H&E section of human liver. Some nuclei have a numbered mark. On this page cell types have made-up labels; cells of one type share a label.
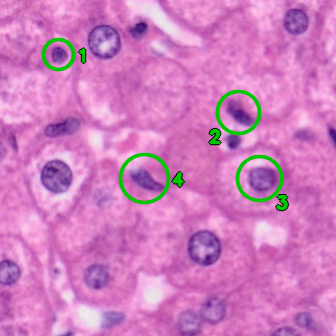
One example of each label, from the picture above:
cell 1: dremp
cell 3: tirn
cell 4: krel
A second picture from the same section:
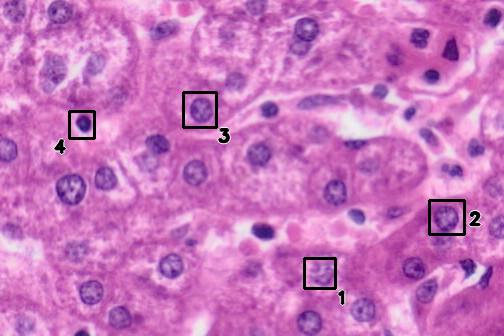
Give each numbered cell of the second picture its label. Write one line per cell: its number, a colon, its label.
1: tirn
2: tirn
3: tirn
4: dremp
